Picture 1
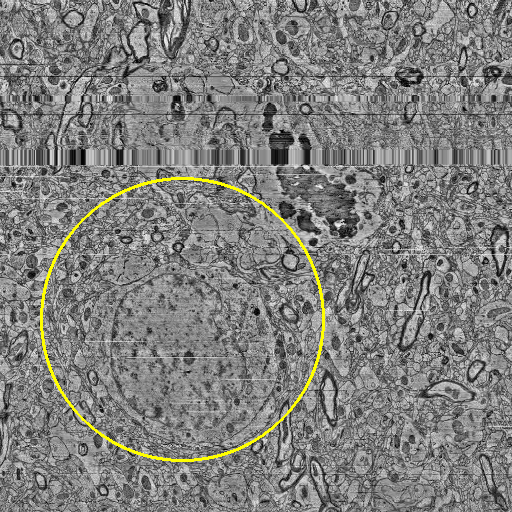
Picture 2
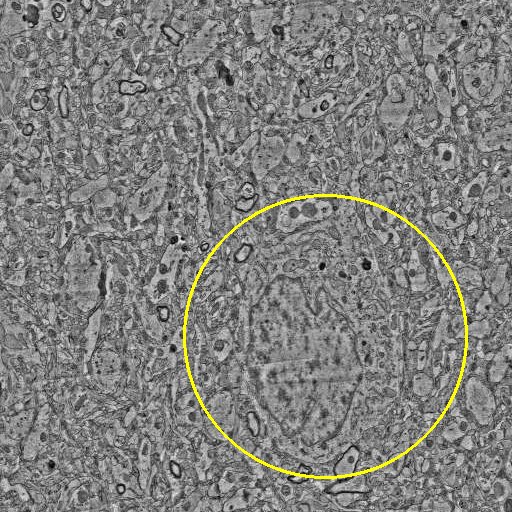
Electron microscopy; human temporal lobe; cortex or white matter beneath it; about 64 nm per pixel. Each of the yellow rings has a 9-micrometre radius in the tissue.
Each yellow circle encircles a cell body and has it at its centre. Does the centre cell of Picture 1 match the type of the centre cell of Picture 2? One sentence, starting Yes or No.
Yes, the cell centred in Picture 1 and the one in Picture 2 share a type.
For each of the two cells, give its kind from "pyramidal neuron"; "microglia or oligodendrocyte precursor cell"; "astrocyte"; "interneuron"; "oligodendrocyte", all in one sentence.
Each of the two rings is centred on an interneuron.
